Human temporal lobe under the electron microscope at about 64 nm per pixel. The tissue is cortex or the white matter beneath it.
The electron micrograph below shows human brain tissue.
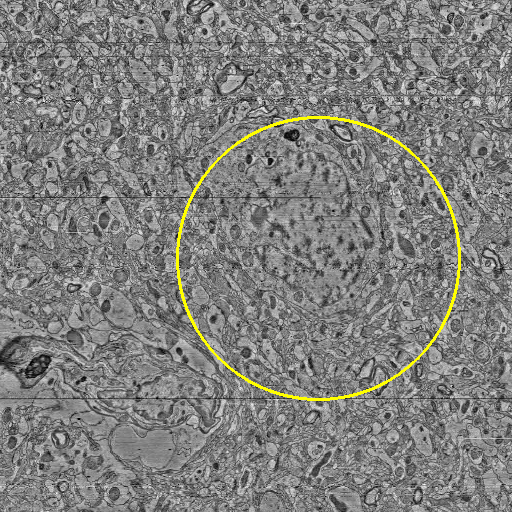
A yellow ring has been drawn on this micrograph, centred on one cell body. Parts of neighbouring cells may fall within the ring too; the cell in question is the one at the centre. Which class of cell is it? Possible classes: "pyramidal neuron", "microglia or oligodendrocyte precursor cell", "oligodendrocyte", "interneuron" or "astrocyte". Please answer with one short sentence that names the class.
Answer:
In the centre of the ring sits an interneuron.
